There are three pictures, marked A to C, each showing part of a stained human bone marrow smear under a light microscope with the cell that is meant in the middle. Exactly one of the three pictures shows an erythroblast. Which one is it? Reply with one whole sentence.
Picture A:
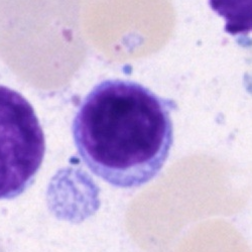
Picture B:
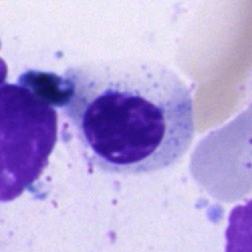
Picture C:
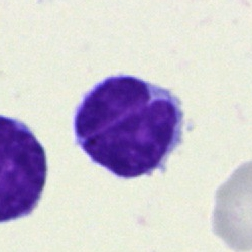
The erythroblast is the one in picture B.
